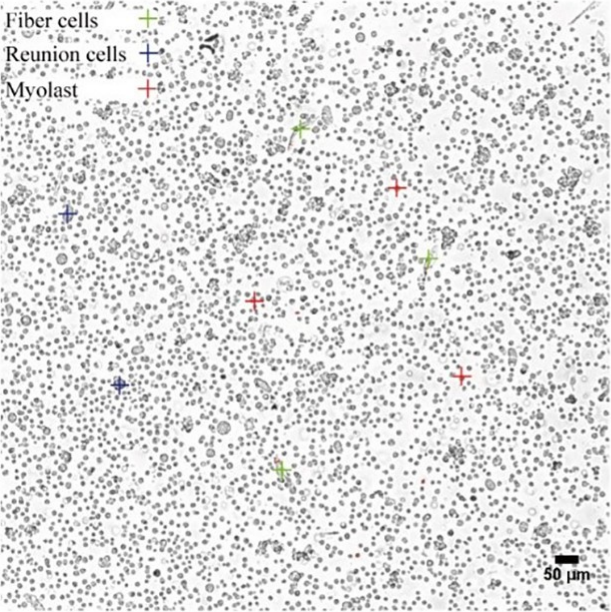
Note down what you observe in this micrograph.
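Most cells are small, round and dark grey, scattered evenly across the field and touching one another only in places. Scattered among them are fewer, larger, irregular clumps of several cells pressed together. A few cells are slightly elongated rather than round. Nuclei and cytoplasm cannot be told apart within the cells at this magnification. The background is pale and even, and there is no tissue architecture; the cells lie free and separate on the surface.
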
